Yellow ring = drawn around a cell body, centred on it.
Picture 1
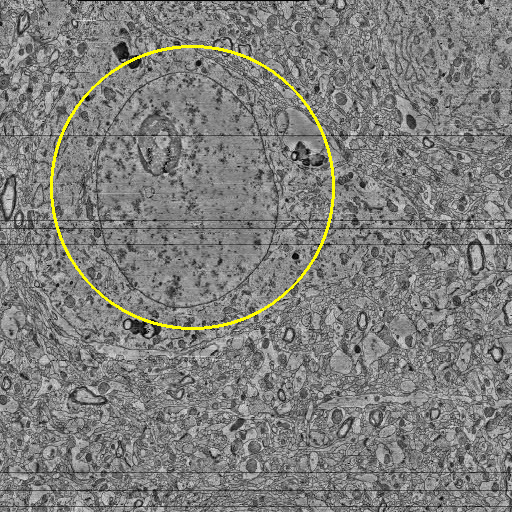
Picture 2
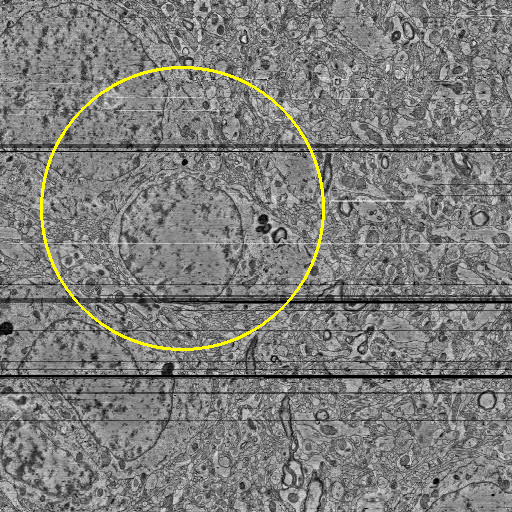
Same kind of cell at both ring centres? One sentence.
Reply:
Yes, they are the same kind of cell.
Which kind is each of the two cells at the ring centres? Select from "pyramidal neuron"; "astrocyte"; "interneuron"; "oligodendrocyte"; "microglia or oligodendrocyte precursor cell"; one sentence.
Each of the two cells is a pyramidal neuron.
